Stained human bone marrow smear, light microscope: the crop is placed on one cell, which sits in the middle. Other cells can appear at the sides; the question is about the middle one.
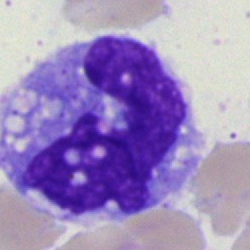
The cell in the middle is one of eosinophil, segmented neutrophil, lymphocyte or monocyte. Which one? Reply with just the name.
monocyte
